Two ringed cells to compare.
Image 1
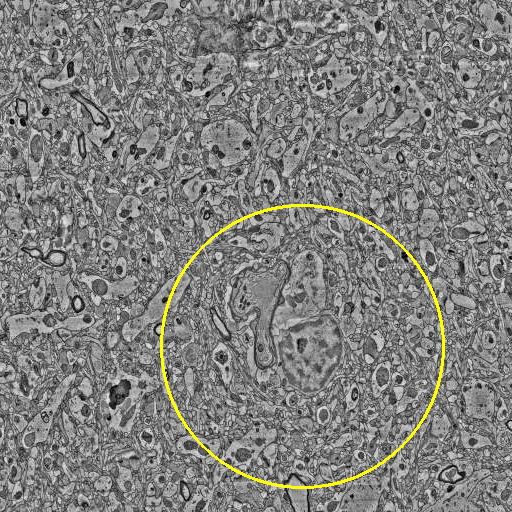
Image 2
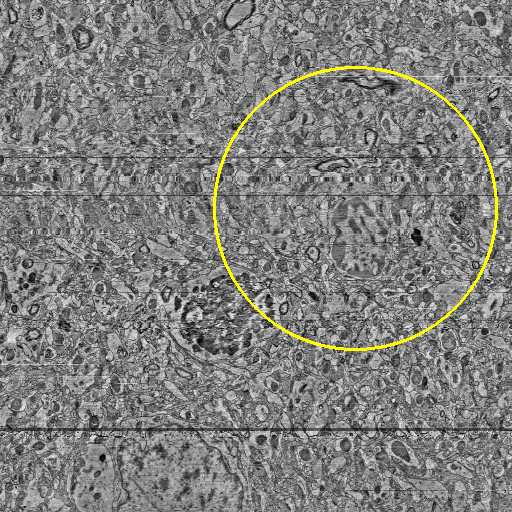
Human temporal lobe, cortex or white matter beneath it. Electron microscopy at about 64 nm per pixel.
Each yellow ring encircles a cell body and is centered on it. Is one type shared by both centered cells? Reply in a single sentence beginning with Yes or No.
No, two types are found among the cells at the centers of the rings.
